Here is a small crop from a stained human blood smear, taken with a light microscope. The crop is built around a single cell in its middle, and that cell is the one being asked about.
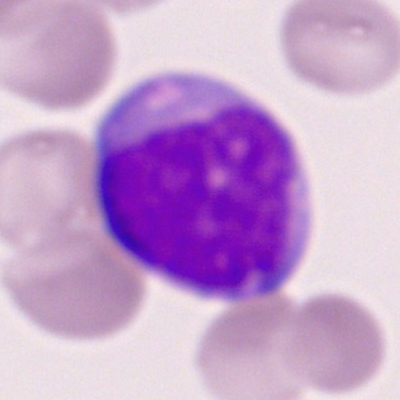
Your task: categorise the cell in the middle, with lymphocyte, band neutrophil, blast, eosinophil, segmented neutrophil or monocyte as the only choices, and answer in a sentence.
At the center of the crop sits a blast.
